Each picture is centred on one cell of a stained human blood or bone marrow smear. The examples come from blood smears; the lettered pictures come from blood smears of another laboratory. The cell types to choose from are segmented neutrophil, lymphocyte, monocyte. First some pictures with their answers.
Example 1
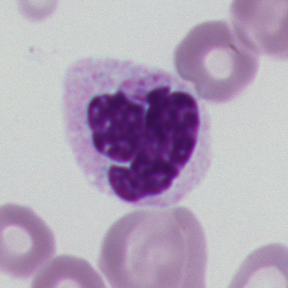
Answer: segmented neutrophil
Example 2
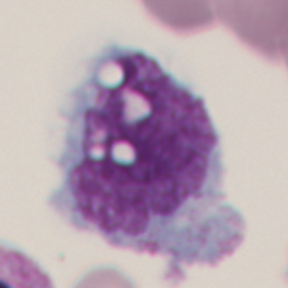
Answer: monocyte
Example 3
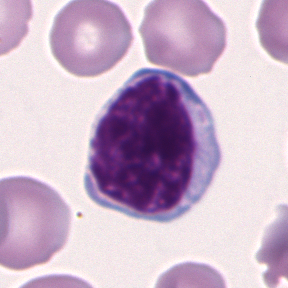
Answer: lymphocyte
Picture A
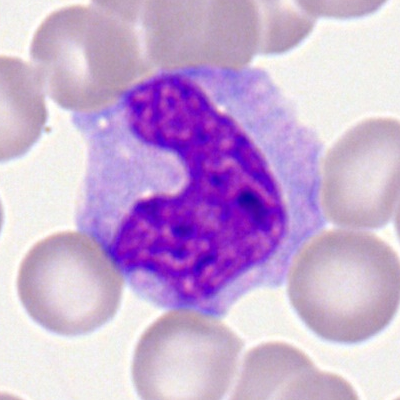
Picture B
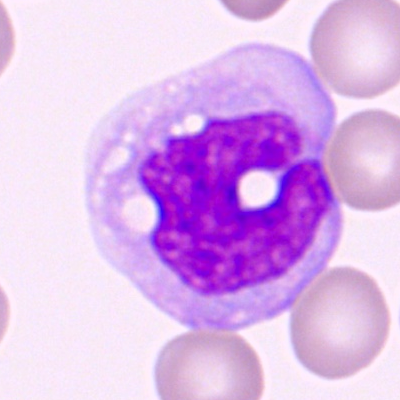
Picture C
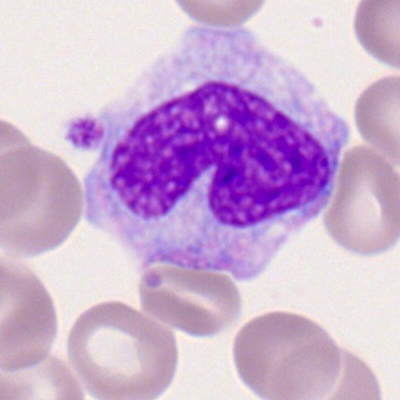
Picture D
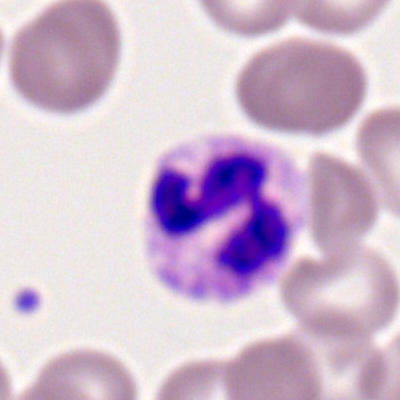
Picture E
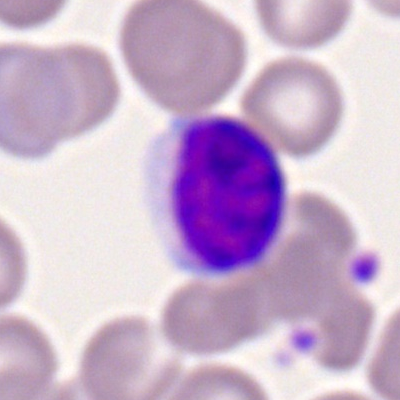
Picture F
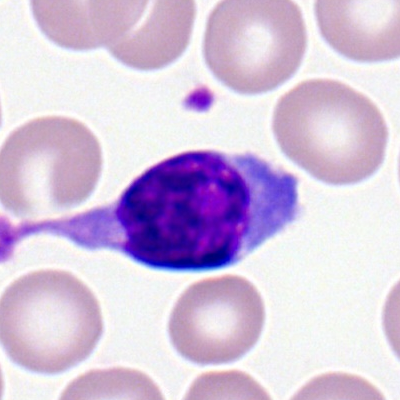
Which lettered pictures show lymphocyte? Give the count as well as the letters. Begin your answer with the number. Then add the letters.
2: E, F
